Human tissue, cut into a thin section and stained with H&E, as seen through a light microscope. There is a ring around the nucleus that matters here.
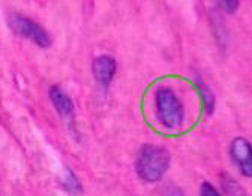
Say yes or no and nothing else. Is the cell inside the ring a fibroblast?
no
